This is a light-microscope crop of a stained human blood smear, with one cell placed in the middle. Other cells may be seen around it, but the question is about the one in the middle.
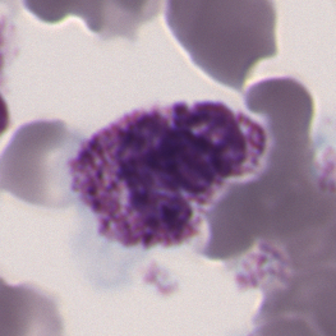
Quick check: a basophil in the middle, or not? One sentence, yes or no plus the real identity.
Yes, the cell centred in this crop is a basophil.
